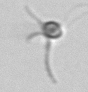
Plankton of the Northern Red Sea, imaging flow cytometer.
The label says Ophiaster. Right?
Right.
